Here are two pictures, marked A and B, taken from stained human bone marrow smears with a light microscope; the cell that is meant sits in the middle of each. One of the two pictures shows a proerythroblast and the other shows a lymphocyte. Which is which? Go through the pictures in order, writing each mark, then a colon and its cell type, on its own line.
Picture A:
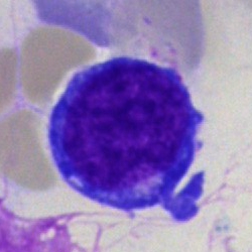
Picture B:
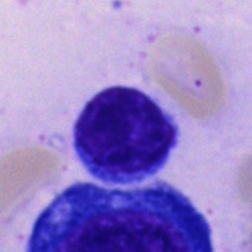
A: proerythroblast
B: lymphocyte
